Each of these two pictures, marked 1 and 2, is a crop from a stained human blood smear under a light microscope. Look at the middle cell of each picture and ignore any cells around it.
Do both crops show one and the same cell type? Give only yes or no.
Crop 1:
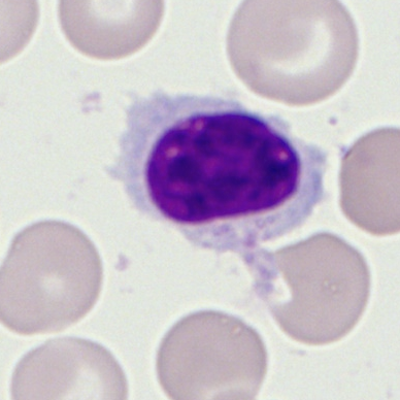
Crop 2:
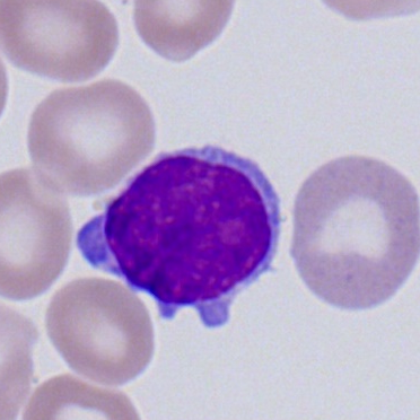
yes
